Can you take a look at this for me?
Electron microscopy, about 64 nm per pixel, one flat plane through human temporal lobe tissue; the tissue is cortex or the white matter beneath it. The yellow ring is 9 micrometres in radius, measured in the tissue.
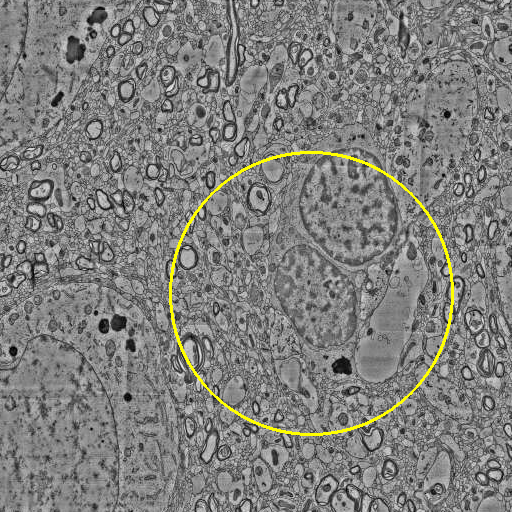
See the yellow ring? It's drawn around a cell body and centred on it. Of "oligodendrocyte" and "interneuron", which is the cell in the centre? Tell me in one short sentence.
The one in the centre is an oligodendrocyte.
